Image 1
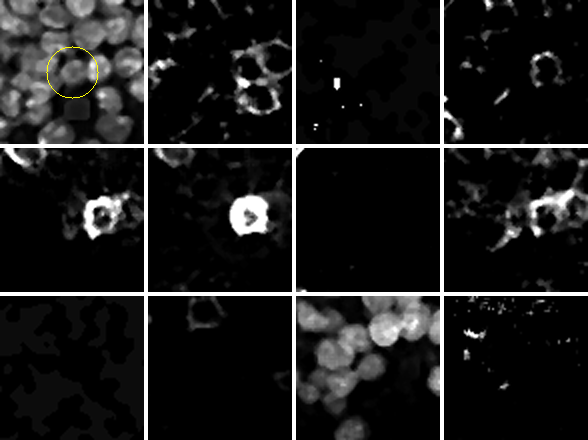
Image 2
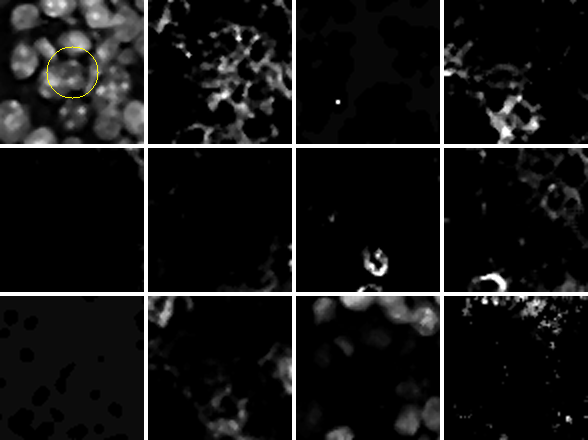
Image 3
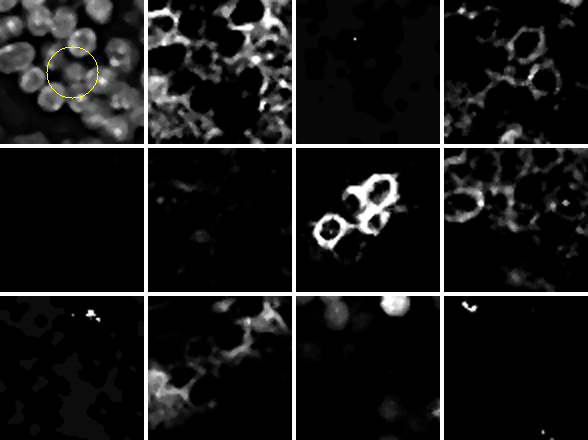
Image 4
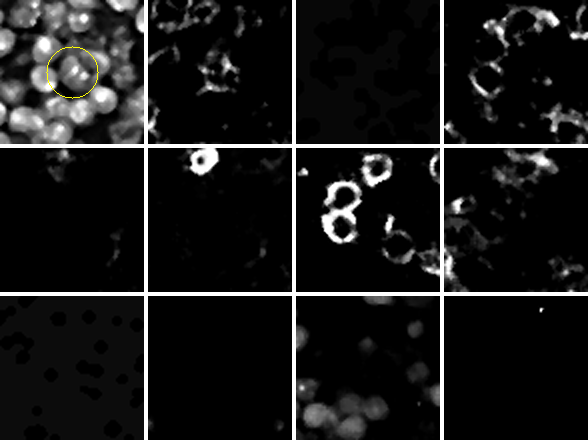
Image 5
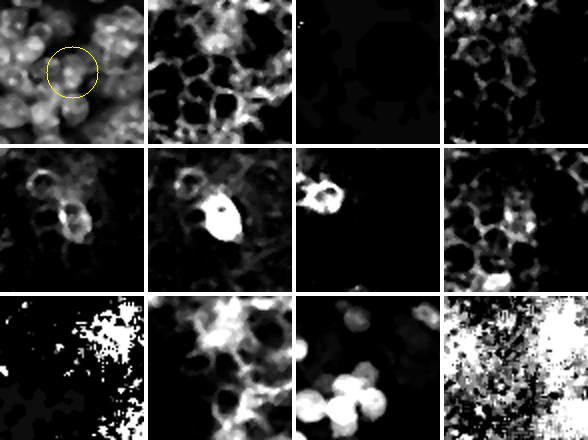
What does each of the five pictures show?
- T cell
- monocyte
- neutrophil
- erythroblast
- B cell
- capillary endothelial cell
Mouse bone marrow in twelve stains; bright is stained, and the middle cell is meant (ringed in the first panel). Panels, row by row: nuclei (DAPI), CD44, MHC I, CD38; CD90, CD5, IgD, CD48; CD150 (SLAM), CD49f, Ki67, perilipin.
1: erythroblast
2: neutrophil
3: B cell
4: neutrophil
5: T cell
